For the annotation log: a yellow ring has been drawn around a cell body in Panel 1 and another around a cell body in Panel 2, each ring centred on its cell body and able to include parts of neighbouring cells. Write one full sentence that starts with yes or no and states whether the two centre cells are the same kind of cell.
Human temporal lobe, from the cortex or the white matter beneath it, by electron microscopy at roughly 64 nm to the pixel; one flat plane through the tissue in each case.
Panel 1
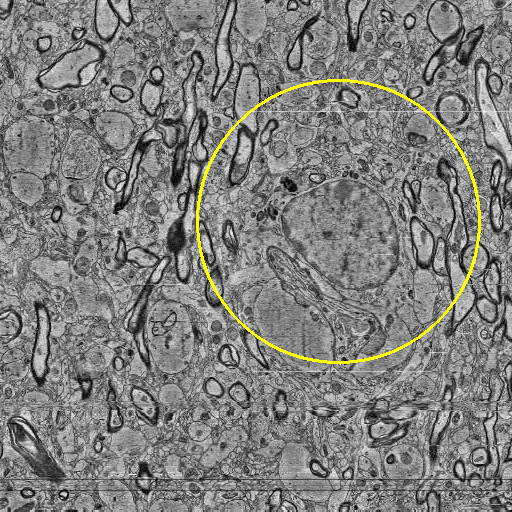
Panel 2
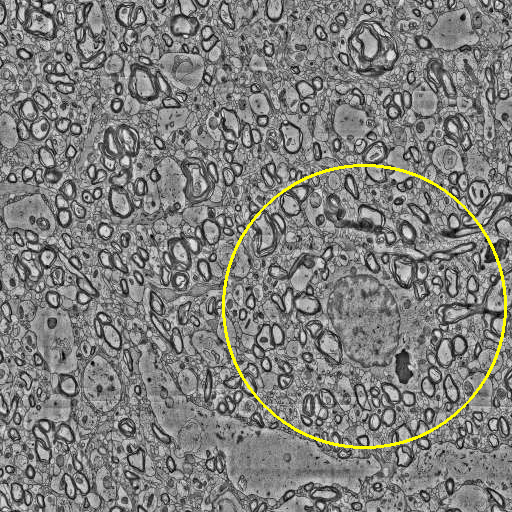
No, the two centre cells are two kinds of cell.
